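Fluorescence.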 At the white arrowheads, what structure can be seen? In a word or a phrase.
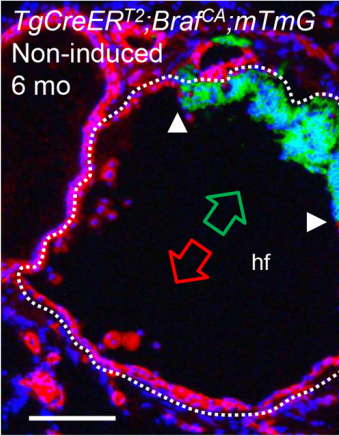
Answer: Clone borders.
